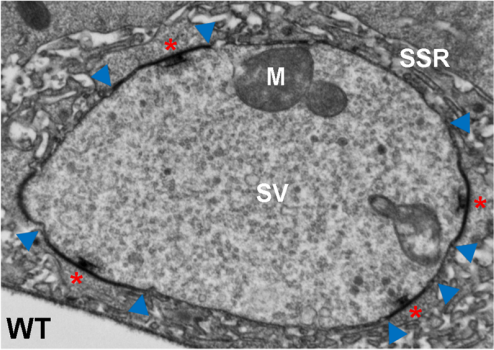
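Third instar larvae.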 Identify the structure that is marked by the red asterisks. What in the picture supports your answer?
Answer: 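T-bars. Small dark electron-dense densities sit on the bouton membrane beside each asterisk.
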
